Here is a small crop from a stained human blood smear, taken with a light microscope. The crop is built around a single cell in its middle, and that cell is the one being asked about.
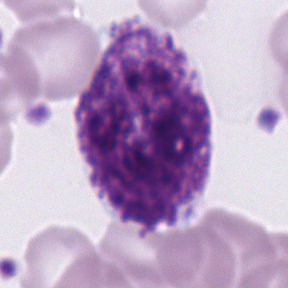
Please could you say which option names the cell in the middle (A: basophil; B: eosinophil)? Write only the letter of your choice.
A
